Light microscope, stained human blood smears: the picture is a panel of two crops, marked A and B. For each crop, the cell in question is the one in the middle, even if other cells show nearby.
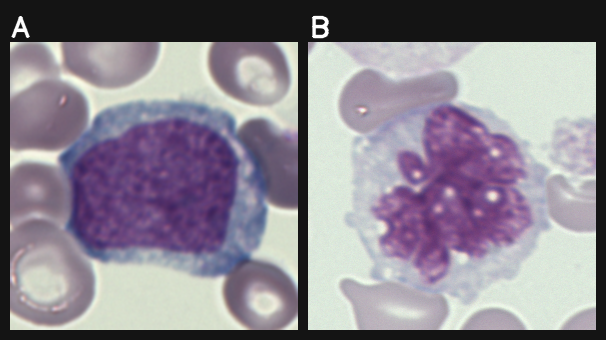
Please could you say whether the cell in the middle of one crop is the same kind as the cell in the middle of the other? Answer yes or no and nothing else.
no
